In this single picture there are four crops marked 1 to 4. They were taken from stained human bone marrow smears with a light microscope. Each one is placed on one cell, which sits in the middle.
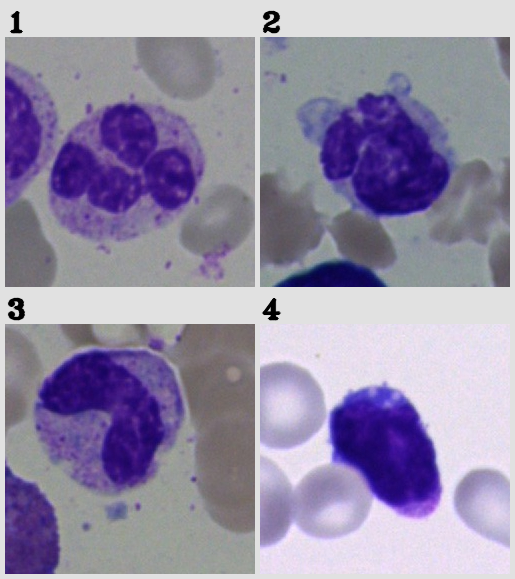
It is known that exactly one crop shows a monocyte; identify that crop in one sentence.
Selected crop: 2, which is the one that shows a monocyte.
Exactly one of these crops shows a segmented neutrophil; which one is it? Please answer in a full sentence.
The crop marked 1 is the one in which a segmented neutrophil is shown.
